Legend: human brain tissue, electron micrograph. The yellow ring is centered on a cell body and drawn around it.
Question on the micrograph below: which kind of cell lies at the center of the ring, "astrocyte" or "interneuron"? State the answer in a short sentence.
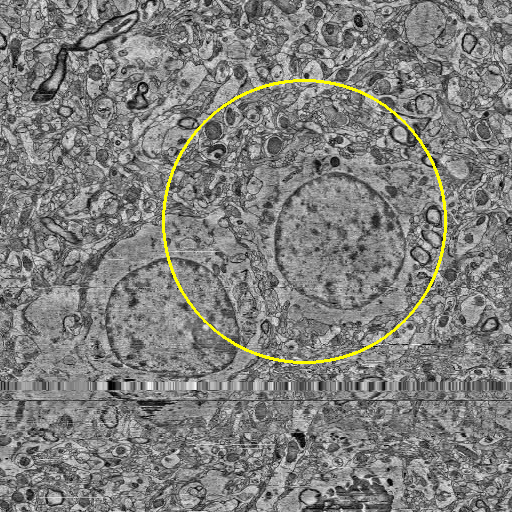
At the center of the ring lies an astrocyte.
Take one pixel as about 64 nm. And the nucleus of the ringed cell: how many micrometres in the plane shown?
In this plane the nucleus is about 9 micrometres across.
